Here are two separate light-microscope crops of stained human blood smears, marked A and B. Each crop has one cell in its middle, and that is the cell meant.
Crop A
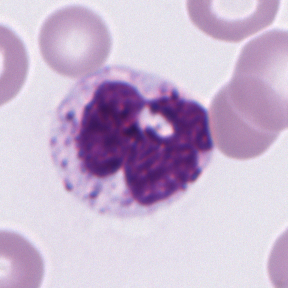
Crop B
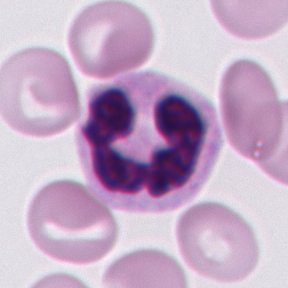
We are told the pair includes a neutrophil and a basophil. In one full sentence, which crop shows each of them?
The crop marked A shows a basophil; the crop marked B shows a neutrophil.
